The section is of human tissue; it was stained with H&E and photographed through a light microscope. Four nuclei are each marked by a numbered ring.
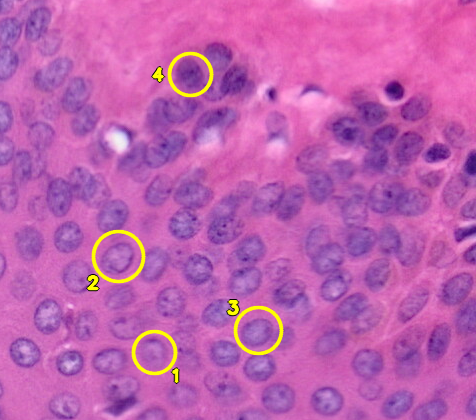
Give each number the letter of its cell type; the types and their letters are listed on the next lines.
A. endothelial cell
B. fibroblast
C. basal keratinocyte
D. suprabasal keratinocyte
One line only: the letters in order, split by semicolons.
D; D; D; C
